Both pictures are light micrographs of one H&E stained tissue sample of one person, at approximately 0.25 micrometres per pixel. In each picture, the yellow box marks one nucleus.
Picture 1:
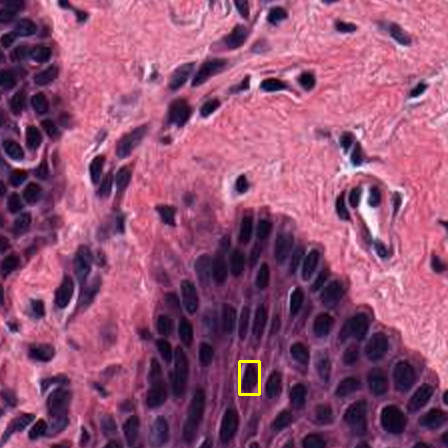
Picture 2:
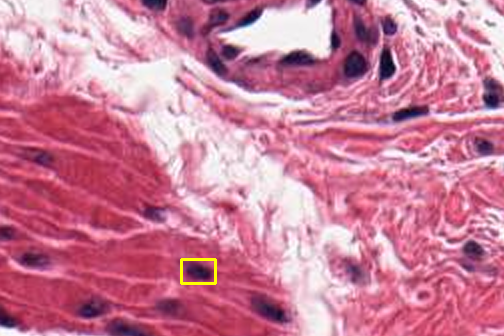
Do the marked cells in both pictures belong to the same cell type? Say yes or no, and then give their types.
No, the first is a squamous epithelial cell and the second a smooth muscle cell.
